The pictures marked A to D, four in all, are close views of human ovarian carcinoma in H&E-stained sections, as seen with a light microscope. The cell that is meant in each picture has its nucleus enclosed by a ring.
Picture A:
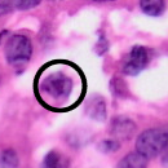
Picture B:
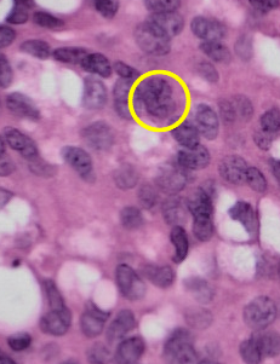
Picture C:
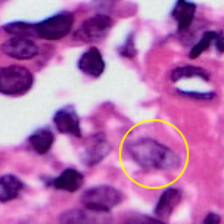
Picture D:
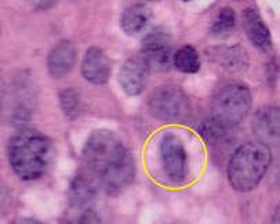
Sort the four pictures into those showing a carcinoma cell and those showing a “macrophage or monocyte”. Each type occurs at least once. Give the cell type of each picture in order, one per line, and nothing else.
carcinoma cell
carcinoma cell
macrophage or monocyte
macrophage or monocyte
